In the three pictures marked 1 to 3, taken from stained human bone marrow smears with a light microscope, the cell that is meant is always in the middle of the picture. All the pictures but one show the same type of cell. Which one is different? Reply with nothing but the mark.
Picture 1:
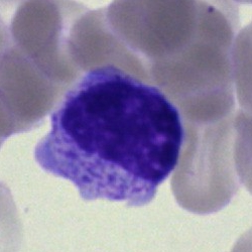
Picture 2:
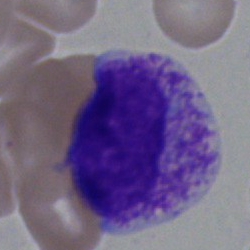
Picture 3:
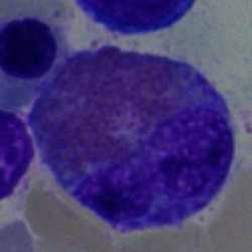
3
